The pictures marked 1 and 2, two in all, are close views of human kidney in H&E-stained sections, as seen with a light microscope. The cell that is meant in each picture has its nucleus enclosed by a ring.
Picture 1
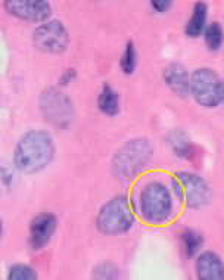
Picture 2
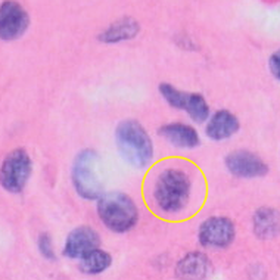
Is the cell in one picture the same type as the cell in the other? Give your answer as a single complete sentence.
No; the cell in picture 1 is a collecting duct cell, while the one in picture 2 is a “loop of Henle or distal tubule cell”.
